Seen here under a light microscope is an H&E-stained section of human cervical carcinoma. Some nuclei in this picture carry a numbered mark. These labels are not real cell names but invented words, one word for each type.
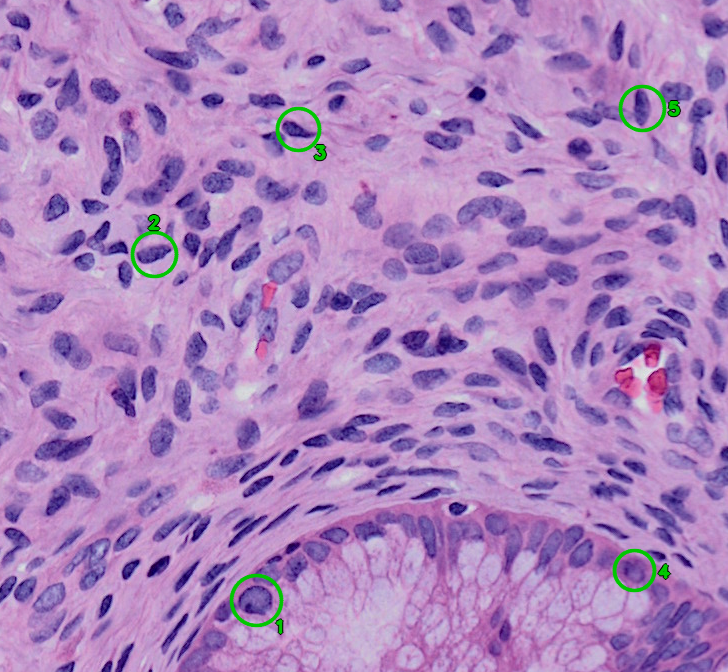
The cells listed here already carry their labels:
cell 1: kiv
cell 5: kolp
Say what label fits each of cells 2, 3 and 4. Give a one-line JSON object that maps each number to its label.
{"2": "kolp", "3": "kolp", "4": "kiv"}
